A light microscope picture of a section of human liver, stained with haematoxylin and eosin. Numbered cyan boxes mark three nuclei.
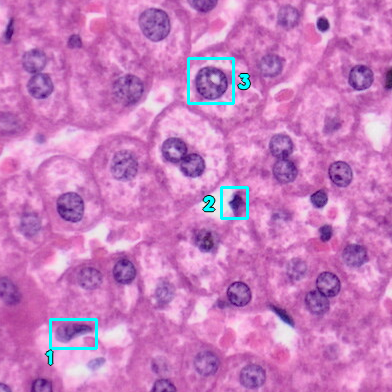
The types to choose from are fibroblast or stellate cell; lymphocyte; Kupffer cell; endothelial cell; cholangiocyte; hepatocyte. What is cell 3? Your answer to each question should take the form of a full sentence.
The marked cell bearing number 3 is a hepatocyte.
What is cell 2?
In the tissue shown, cell 2 is an endothelial cell.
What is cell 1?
Heads up, the cell numbered 1 is an endothelial cell.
